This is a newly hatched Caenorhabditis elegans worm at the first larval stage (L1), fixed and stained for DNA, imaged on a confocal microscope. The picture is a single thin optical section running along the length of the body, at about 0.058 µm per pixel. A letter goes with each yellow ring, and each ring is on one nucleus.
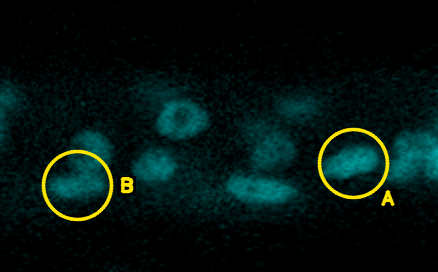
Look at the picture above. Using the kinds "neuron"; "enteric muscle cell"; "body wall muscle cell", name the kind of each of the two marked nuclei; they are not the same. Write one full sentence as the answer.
B belongs to a body wall muscle cell, and A to an enteric muscle cell.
